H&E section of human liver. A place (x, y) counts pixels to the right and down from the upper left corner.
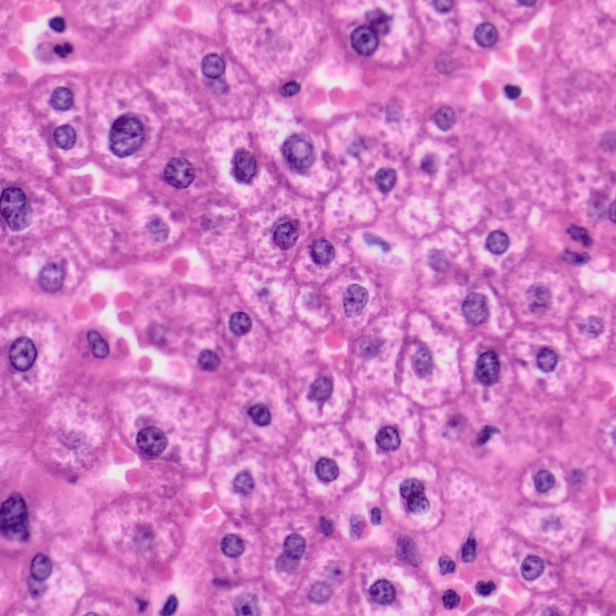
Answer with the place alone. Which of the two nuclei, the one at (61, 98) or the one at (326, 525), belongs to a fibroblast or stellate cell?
(326, 525)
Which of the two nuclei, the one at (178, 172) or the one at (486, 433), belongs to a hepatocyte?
(178, 172)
